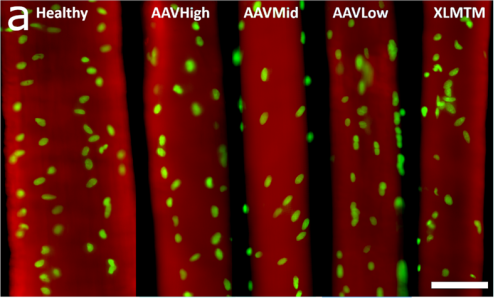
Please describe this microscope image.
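These are isolated single skeletal muscle fibres, each a long unbranched cylinder of red-stained cytoplasm running the length of the image. Many small oval green nuclei are scattered along every fibre, so each fibre is one cell holding many nuclei. The fibres lie side by side separated by dark background and differ somewhat in width.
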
